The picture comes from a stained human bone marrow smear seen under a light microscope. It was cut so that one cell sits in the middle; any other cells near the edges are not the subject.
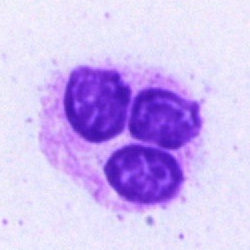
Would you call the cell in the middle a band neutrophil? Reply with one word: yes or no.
no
